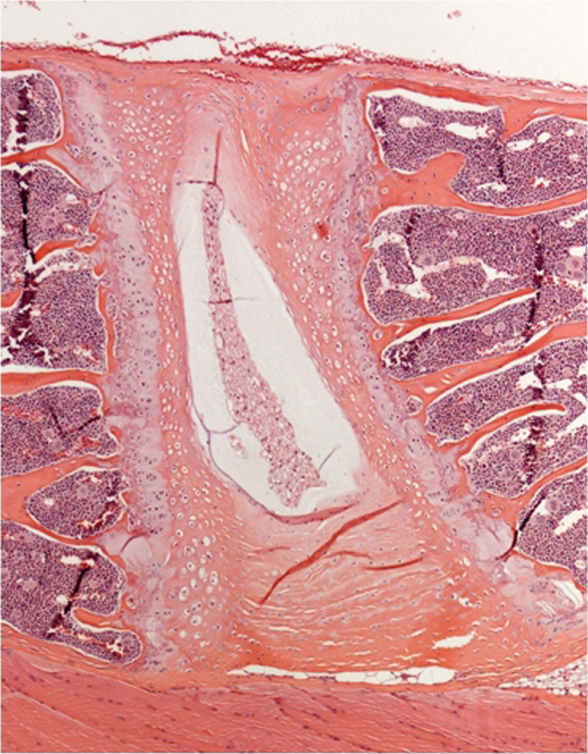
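This is an intervertebral joint with a disc lying between two vertebral bodies. On both sides, the vertebral bone forms pink trabeculae enclosing densely packed purple marrow cells. The disc between them consists of pale pink to lilac cartilage-like tissue with many rounded cells sitting in clear lacunae, arranged in bands toward the bony end plates. In the middle lies a pale, clear space containing a loose strand of pale cellular material. Below the disc, layered pink fibrous tissue runs across, and a band of dense pink connective tissue and muscle borders the joint at the bottom.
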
